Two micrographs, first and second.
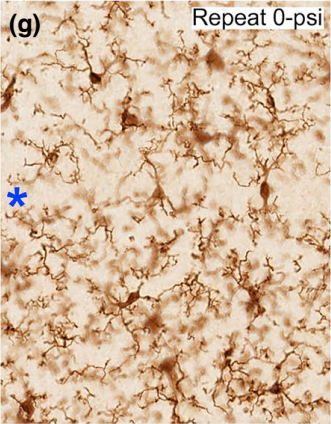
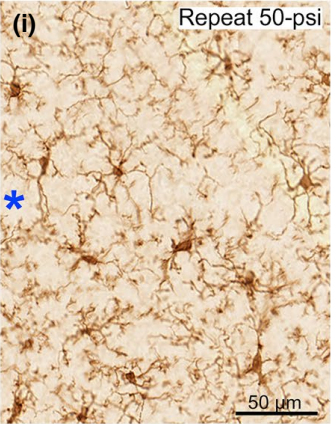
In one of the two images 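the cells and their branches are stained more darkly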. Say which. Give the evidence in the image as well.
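The first image. Second image: the branched cells and their processes appear paler brown against the background. First image: the branched cells and their processes appear darker brown.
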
